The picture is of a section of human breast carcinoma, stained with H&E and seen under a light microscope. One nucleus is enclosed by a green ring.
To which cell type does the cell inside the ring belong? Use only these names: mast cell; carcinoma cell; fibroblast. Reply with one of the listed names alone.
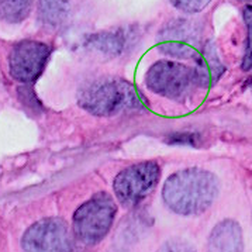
carcinoma cell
